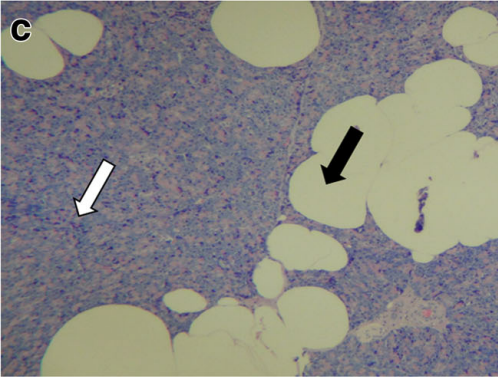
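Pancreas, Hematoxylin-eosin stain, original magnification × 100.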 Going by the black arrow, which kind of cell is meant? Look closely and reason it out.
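Fat cells. The arrow points at large, round, empty white spaces. These spaces are far larger than the surrounding cells and lie in clusters. Each has only a thin border and no visible stained contents.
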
